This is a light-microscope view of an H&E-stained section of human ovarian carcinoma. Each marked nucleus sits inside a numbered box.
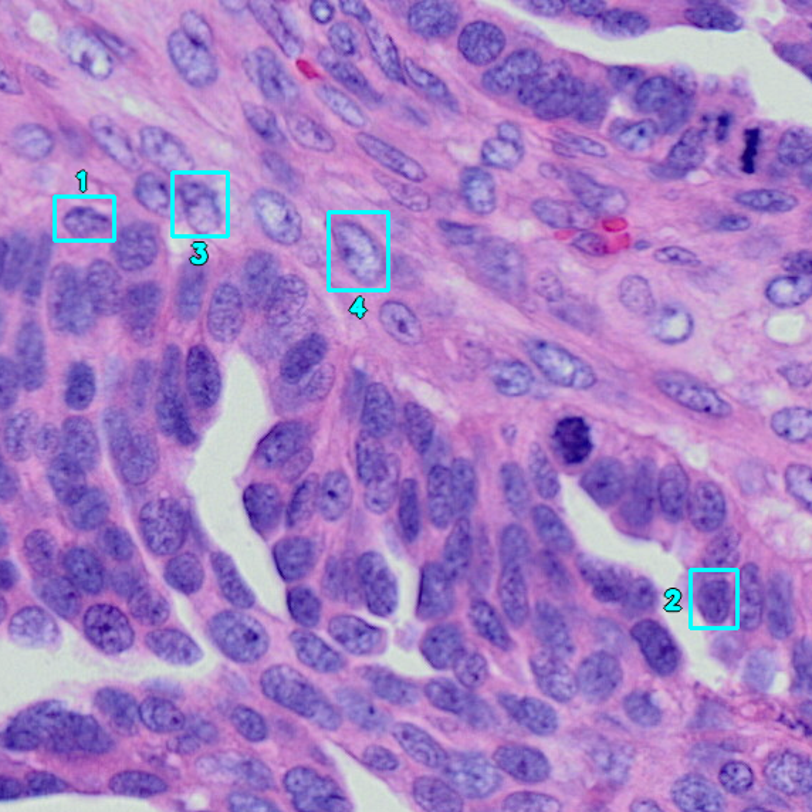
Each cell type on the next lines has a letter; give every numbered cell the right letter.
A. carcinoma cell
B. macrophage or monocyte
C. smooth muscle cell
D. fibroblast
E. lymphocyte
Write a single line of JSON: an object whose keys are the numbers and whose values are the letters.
{"1": "B", "2": "A", "3": "D", "4": "D"}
